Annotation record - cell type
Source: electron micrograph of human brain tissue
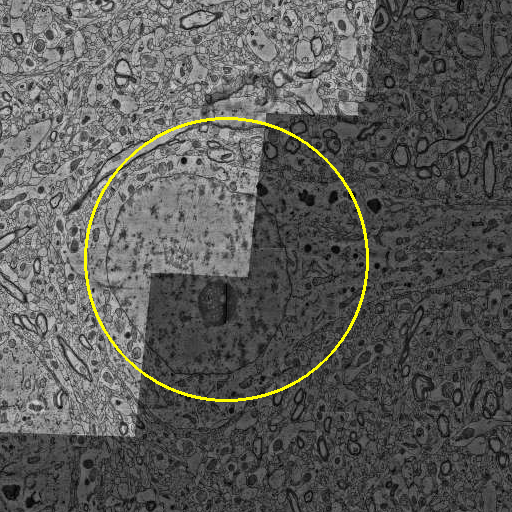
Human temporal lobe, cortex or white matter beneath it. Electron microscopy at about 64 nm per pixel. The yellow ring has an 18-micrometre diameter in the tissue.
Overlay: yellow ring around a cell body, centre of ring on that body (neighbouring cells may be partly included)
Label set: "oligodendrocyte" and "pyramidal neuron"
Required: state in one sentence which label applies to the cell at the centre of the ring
This cell should be labelled as a pyramidal neuron.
